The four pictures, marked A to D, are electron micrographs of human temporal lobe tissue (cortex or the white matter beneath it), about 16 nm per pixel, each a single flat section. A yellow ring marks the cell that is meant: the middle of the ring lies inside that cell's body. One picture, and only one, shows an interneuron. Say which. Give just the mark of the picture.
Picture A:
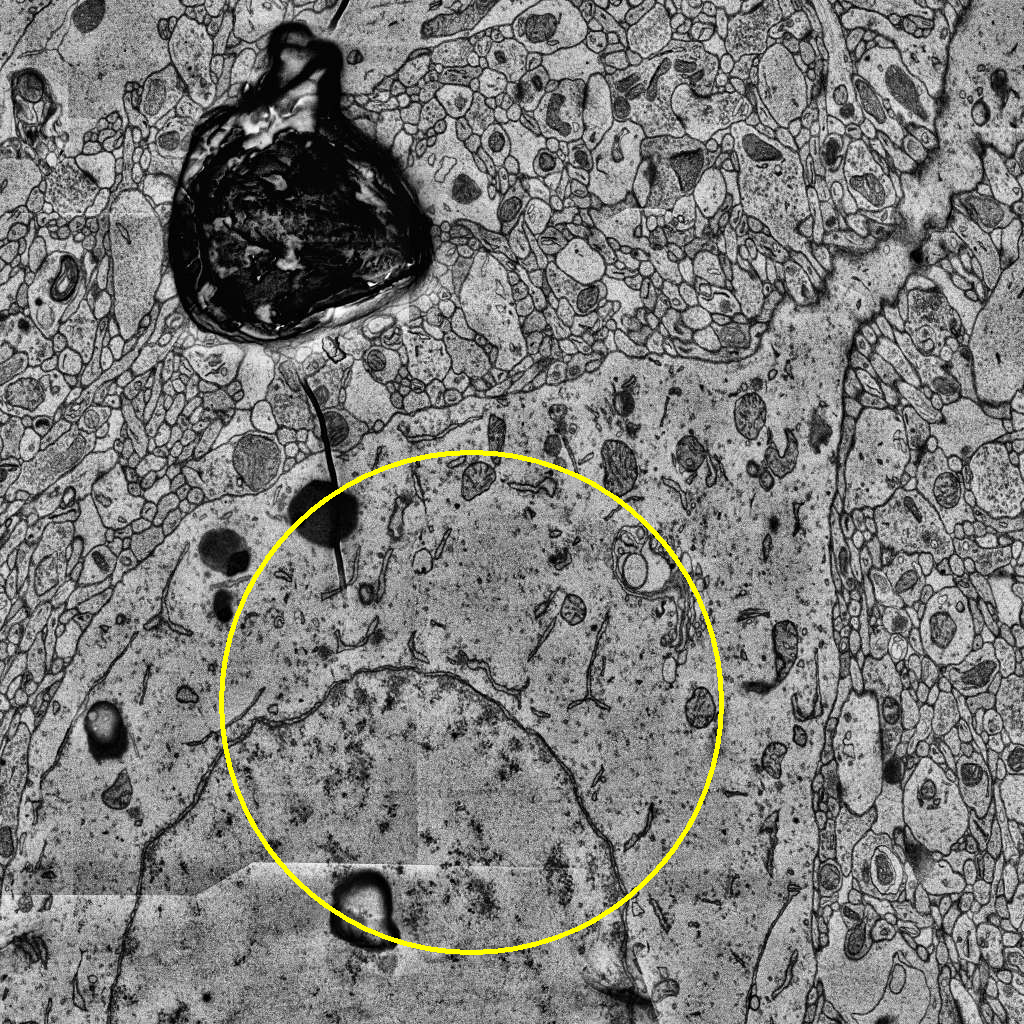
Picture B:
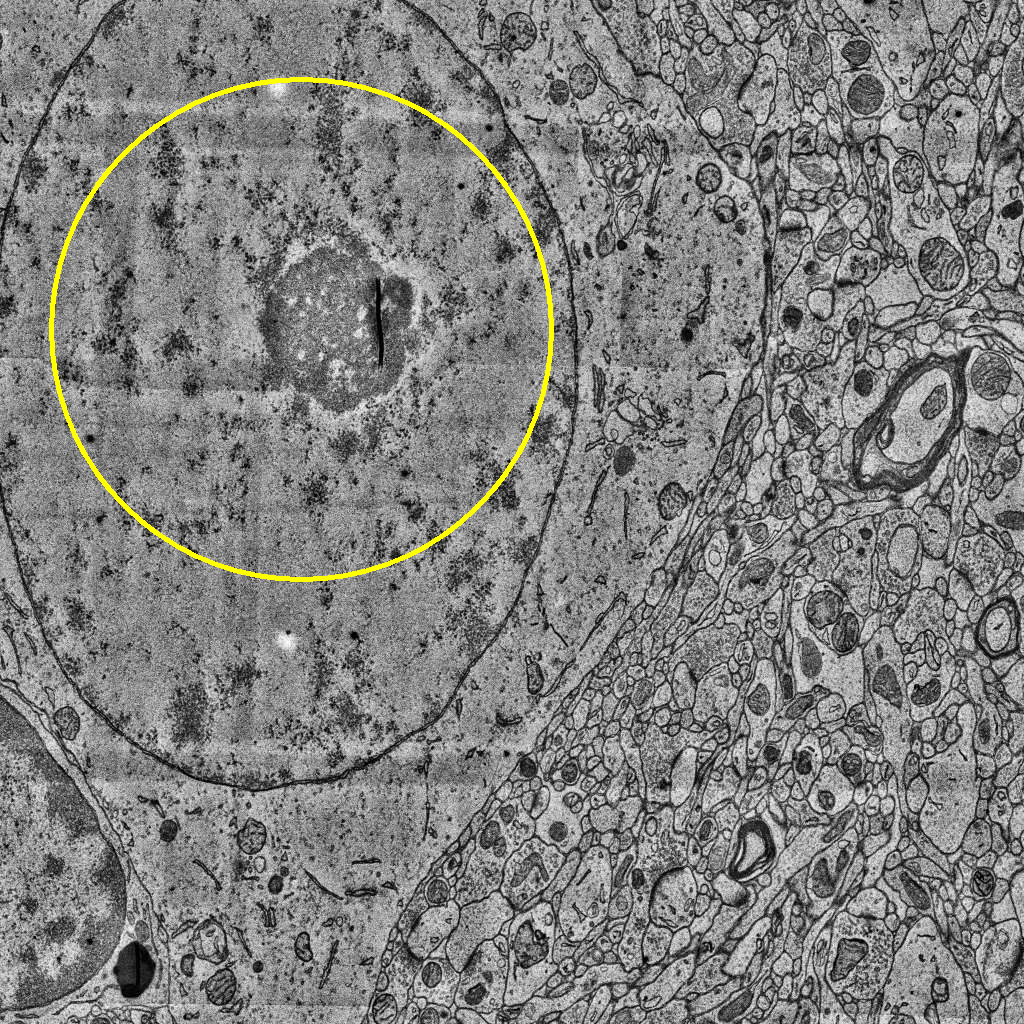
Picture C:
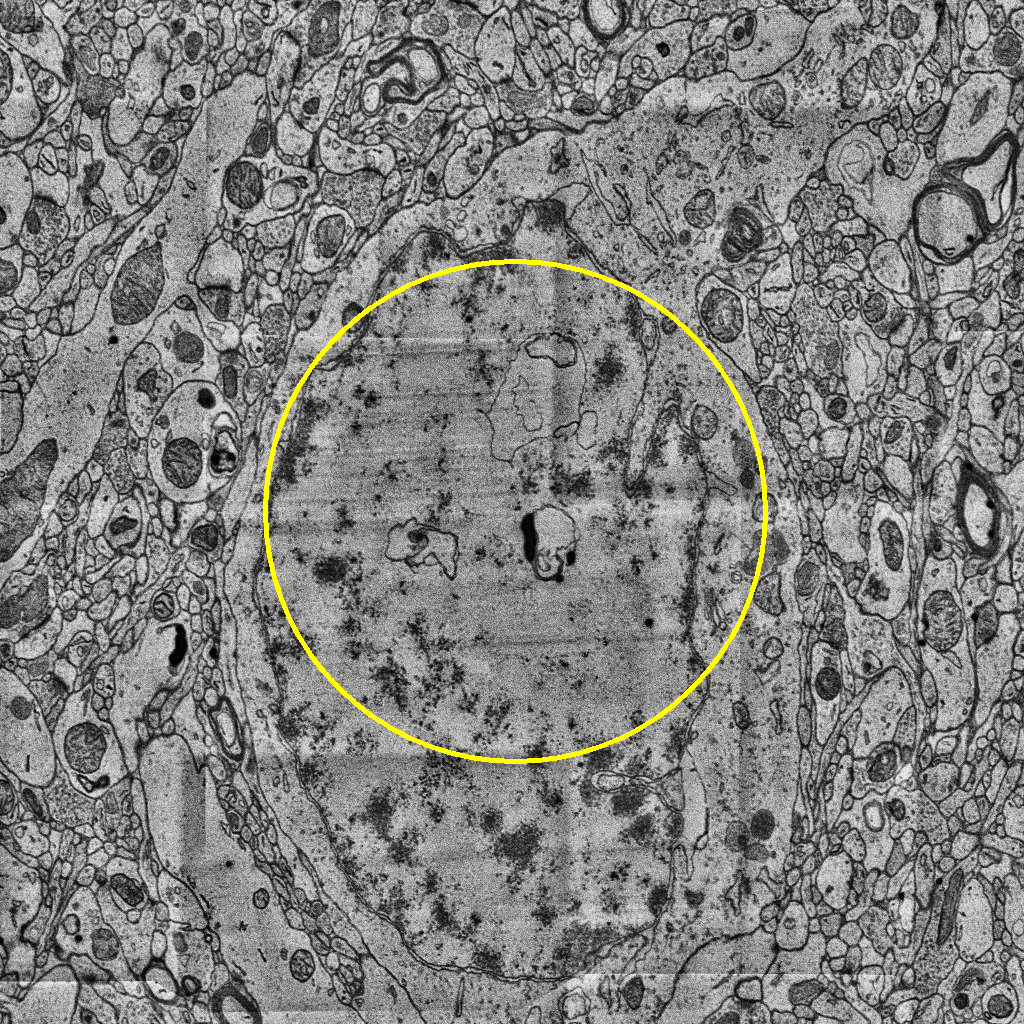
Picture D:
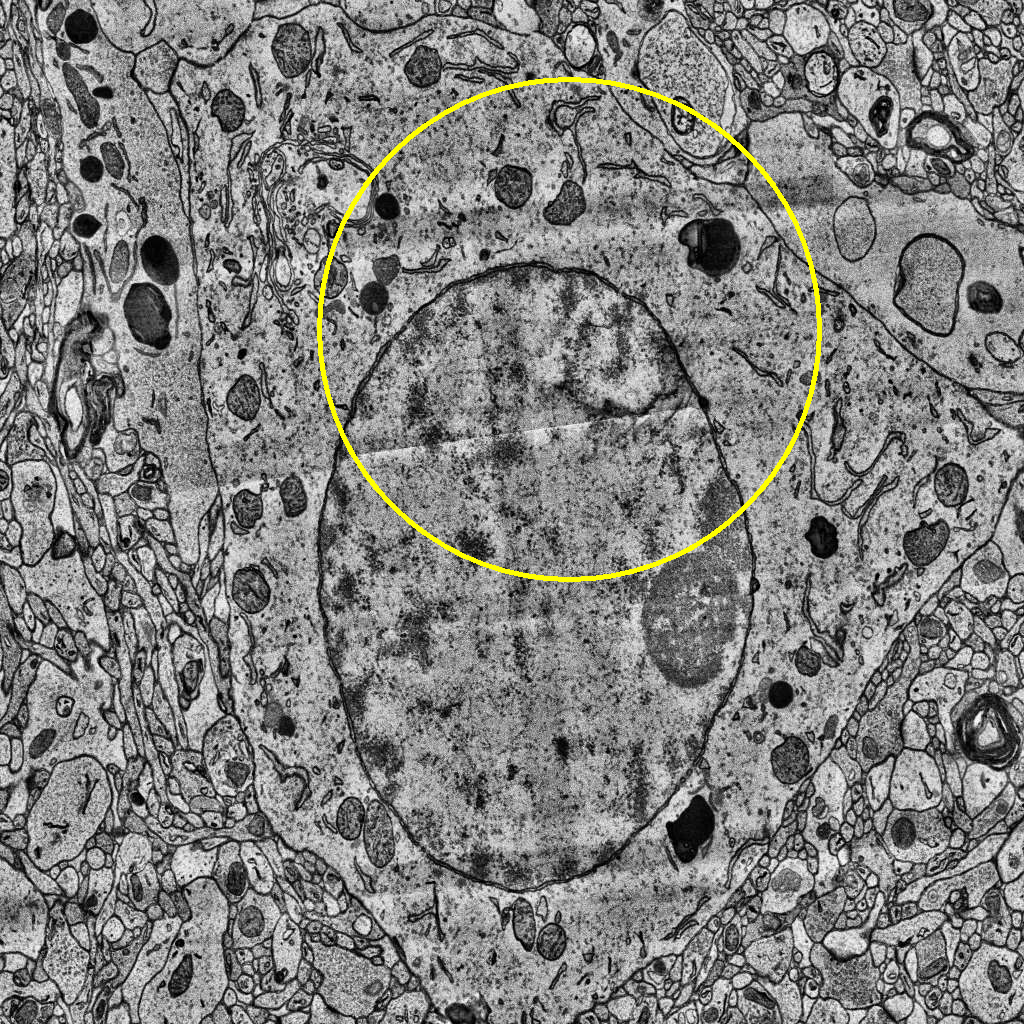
C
